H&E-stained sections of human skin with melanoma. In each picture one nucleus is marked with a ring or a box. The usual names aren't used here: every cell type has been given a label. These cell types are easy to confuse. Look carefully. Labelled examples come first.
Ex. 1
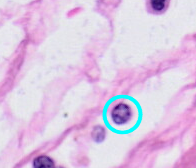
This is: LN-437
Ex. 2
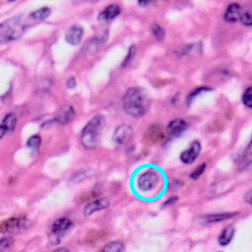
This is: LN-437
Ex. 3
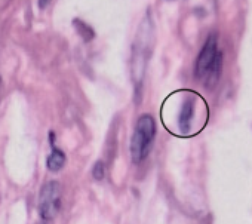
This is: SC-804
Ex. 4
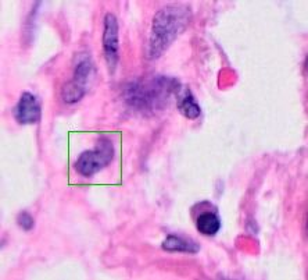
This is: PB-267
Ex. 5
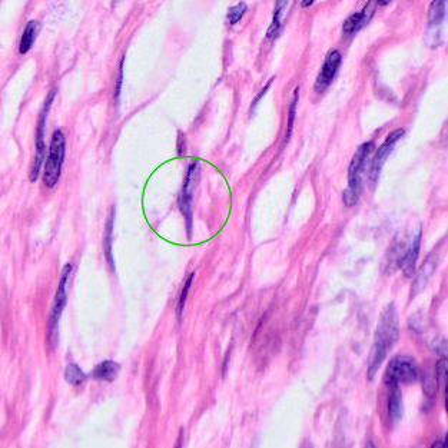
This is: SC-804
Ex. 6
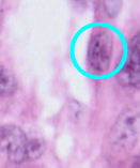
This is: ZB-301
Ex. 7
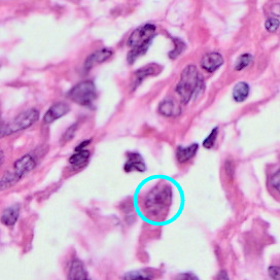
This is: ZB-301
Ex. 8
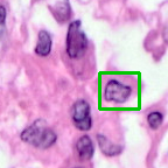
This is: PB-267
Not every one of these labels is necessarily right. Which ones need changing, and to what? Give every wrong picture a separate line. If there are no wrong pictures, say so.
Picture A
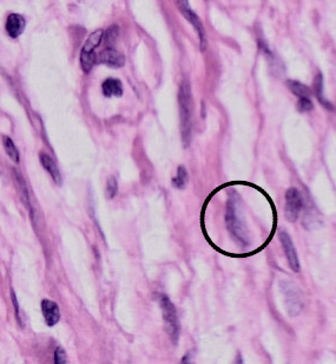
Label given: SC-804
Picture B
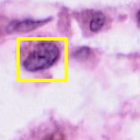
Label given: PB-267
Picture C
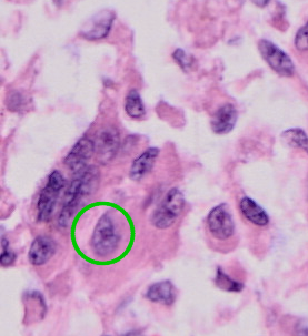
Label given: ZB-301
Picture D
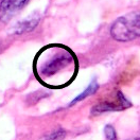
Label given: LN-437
Wrong: D (LN-437); correct: ZB-301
